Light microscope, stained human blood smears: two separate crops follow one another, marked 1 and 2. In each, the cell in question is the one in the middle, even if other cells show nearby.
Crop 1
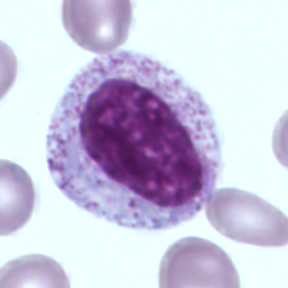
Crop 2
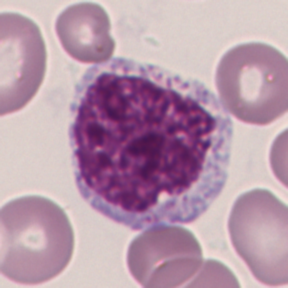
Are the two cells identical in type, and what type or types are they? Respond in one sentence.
Yes, it is myelocytes that occupy the middle of both crops.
